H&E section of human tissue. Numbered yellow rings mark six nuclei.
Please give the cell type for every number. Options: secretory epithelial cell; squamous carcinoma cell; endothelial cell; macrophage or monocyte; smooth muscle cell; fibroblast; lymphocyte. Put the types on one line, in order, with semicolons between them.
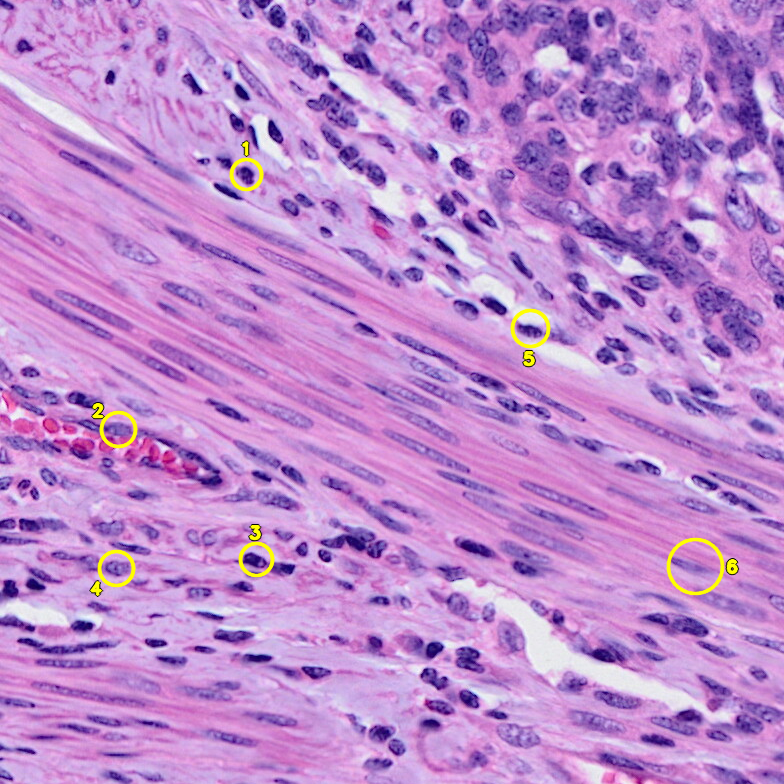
lymphocyte; endothelial cell; lymphocyte; smooth muscle cell; lymphocyte; smooth muscle cell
